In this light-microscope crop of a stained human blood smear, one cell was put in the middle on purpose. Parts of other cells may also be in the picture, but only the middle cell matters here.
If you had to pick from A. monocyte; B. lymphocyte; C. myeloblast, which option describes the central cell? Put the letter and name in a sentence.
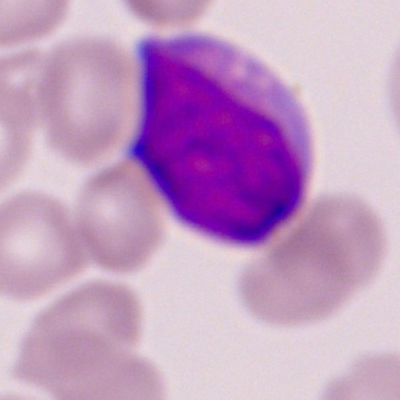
The cell in the middle is a myeloblast, and that makes option C correct.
